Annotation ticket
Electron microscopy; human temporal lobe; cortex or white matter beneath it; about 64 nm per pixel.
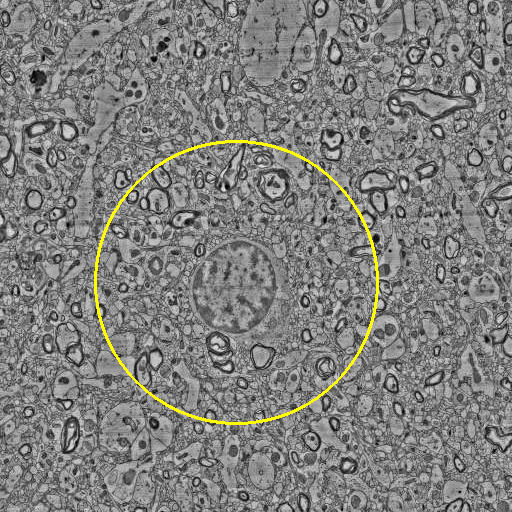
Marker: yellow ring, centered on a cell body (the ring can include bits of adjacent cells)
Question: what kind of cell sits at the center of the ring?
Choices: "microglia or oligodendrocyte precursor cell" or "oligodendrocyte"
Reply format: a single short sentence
The ring is centered on an oligodendrocyte.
